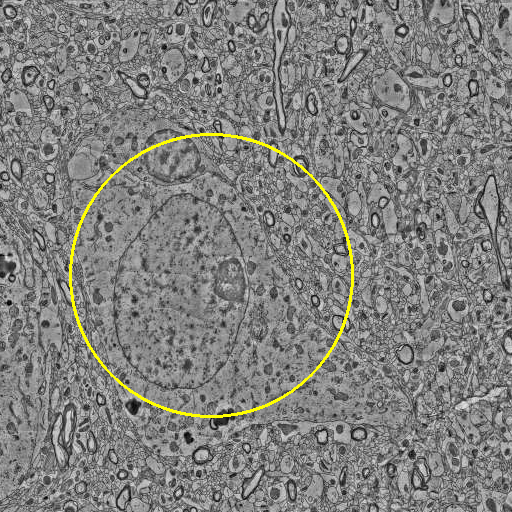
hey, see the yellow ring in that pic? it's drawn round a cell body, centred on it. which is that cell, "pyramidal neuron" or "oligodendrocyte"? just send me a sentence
The cell in the ring is a pyramidal neuron.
